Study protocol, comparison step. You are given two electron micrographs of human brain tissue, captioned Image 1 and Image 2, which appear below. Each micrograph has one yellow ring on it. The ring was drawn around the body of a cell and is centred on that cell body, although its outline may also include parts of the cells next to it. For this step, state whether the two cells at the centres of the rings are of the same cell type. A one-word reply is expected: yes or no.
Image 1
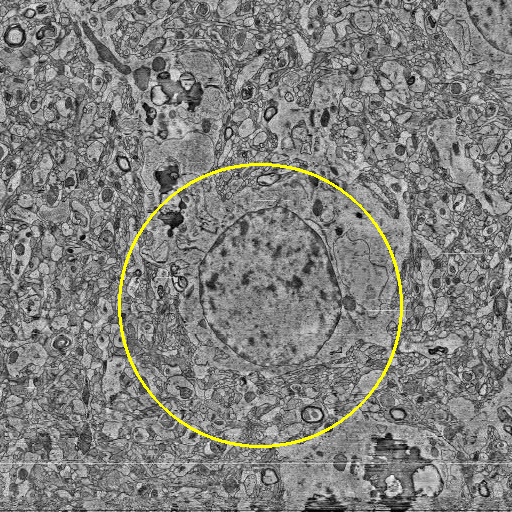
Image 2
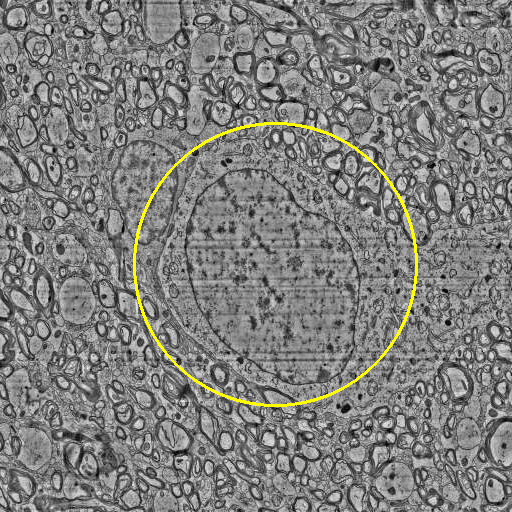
no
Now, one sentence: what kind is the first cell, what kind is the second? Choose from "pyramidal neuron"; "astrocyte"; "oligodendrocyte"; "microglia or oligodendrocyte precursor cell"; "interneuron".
The first picture has an astrocyte at its ring centre, and the second has a pyramidal neuron.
